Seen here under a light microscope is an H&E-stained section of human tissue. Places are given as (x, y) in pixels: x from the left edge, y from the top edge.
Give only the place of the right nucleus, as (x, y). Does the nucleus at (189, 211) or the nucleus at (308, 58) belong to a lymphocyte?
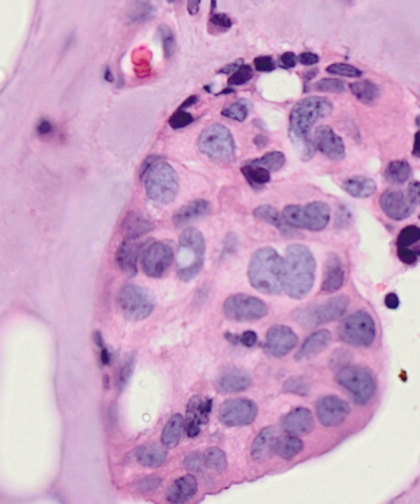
(308, 58)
